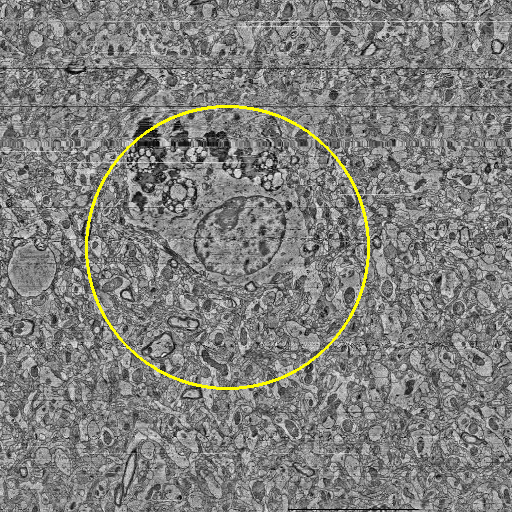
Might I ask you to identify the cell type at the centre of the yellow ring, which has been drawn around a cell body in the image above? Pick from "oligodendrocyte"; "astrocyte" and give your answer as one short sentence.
The centre of the ring falls on an astrocyte.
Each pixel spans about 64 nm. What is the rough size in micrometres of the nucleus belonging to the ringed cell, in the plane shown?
About 6 by 5 micrometers for the nucleus, in this plane.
